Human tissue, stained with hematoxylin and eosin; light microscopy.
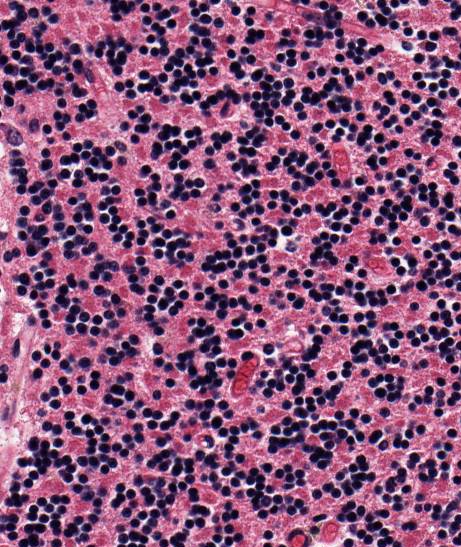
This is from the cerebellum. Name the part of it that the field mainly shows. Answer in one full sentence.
The subject of this tissue section is the part called granular layer.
